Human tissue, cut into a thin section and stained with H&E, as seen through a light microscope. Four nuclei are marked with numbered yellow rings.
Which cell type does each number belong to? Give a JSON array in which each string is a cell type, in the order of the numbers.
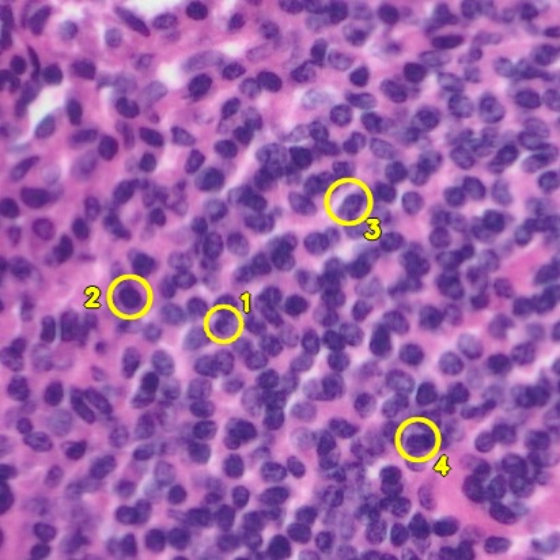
["small lymphocyte", "plasma cell", "small lymphocyte", "small lymphocyte"]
